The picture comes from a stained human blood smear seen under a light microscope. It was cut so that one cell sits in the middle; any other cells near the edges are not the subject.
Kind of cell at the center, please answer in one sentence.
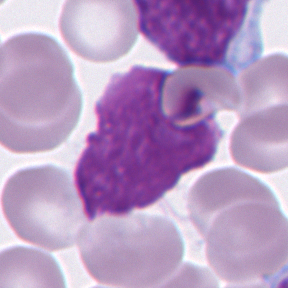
The cell marked by its central position in the crop is a smudge cell.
